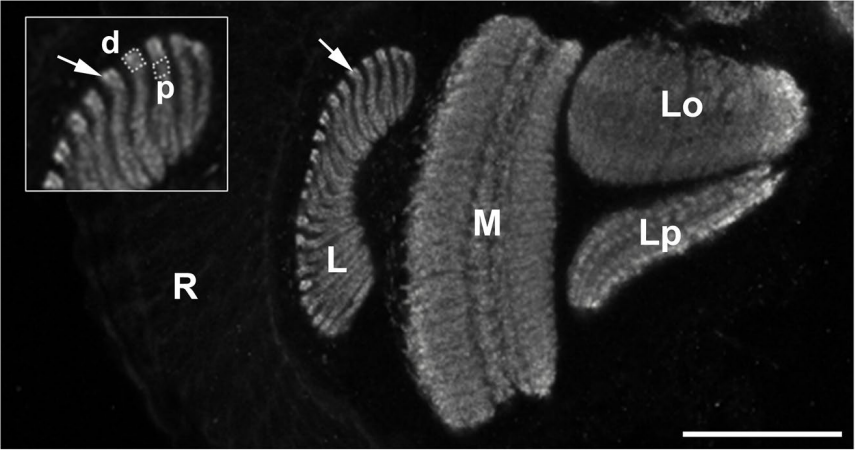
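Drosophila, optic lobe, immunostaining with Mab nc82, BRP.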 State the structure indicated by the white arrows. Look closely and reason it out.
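The arrows point at the bright neuropil band labelled L. That band is divided into a row of parallel, evenly spaced bright stripes. The stripes run radially, side by side along the curved band. On this evidence: synaptic columns or cartridges.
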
